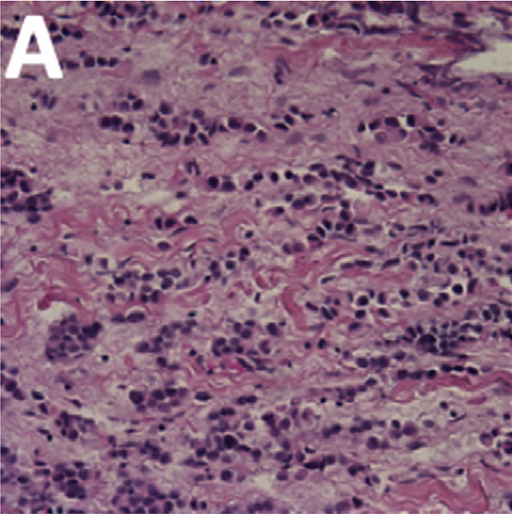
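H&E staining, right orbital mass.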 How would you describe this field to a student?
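This is fibrovascular tissue infiltrated by atypical basophilic tumour cells. The stroma consists of wavy pink collagen bundles with scattered thin spindle-shaped nuclei. Between the bundles, the tumour cells lie singly, in small clusters and in narrow single-file strands that run roughly parallel to the fibres. The tumour cells are small to medium-sized, with round to oval, dark purple nuclei that vary in size and shape and occupy most of each cell, leaving only a scant rim of cytoplasm. The arrangement is infiltrative, with no glands or organised structures. A few tighter clusters of tumour cells are present.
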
